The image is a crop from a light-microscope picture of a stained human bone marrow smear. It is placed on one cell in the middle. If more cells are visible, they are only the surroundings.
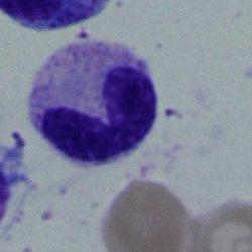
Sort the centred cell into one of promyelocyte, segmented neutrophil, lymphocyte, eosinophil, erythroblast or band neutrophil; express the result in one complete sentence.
At the crop's centre, the cell is a band neutrophil.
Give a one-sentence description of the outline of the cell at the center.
Edge check done: smooth outline, no projections present.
